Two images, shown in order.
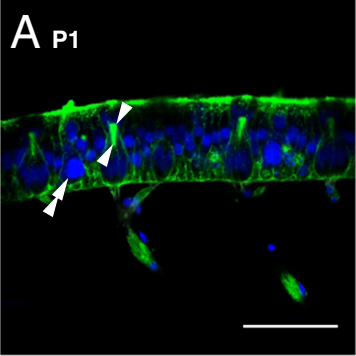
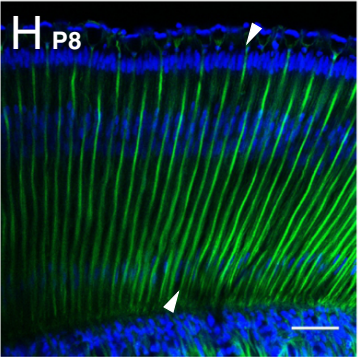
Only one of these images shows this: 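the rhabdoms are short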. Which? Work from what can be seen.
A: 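Second image: green rods are long and span nearly the whole thick retina. First image: green rods are short and confined to a thin cell layer.
Hence: the first image.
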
